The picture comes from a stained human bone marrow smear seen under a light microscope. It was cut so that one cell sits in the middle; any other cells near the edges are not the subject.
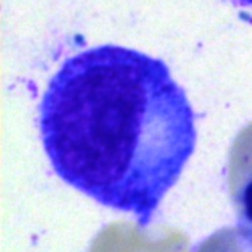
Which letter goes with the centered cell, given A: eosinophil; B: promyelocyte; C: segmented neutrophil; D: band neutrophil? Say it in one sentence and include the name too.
Of the options given, B is correct, the central cell being a promyelocyte.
